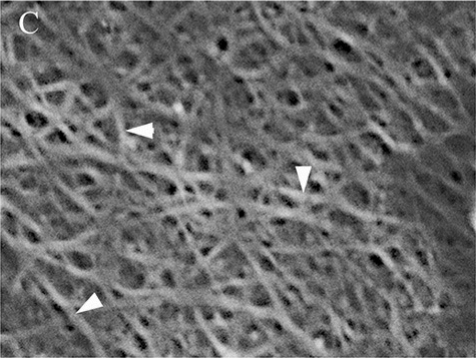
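The fibrils here are long and comparatively straight, running across the field and crossing each other at various angles, so that they build a dense criss-cross lattice. Several lie roughly side by side in loose bands. Beneath and between them small dark pores dot a grey matrix. Compared with a looser, looping arrangement, these fibrils appear more extended and closely packed, giving the surface a fine woven look.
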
